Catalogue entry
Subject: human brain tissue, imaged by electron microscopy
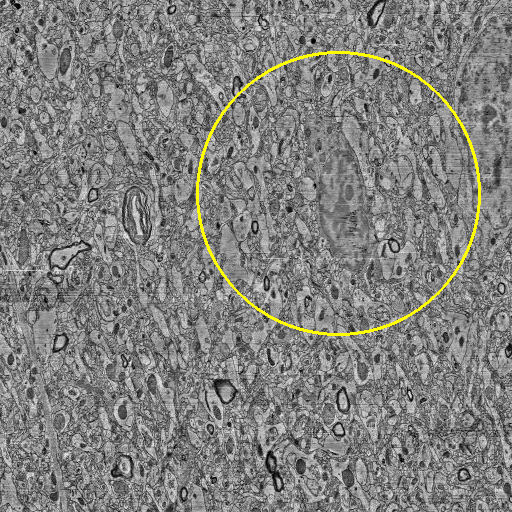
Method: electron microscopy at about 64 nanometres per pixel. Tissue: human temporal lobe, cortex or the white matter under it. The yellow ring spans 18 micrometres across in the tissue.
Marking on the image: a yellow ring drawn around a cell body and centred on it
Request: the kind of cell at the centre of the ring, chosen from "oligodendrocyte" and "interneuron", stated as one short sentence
The ring has an oligodendrocyte at its centre.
